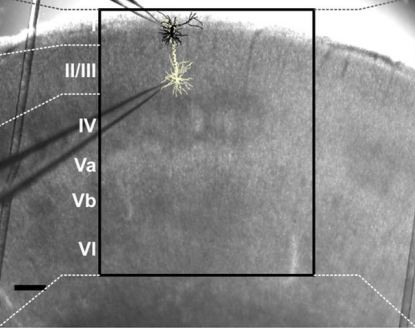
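The tissue is grey, with faint darker patches in the middle layer and a few pale, vertical streaks. Two recording pipettes come in from the left and end in the upper layers. Single cell bodies of the slice itself cannot be made out.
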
